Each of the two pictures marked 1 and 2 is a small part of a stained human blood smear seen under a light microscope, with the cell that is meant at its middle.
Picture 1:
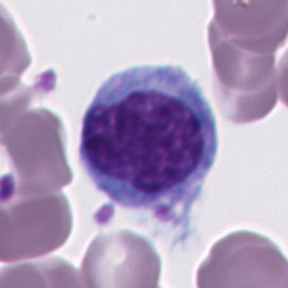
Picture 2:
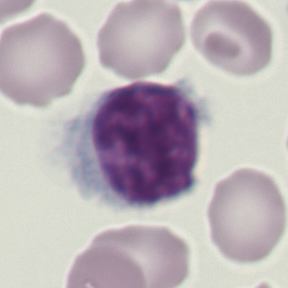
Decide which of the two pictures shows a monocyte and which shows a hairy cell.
1: monocyte
2: hairy cell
